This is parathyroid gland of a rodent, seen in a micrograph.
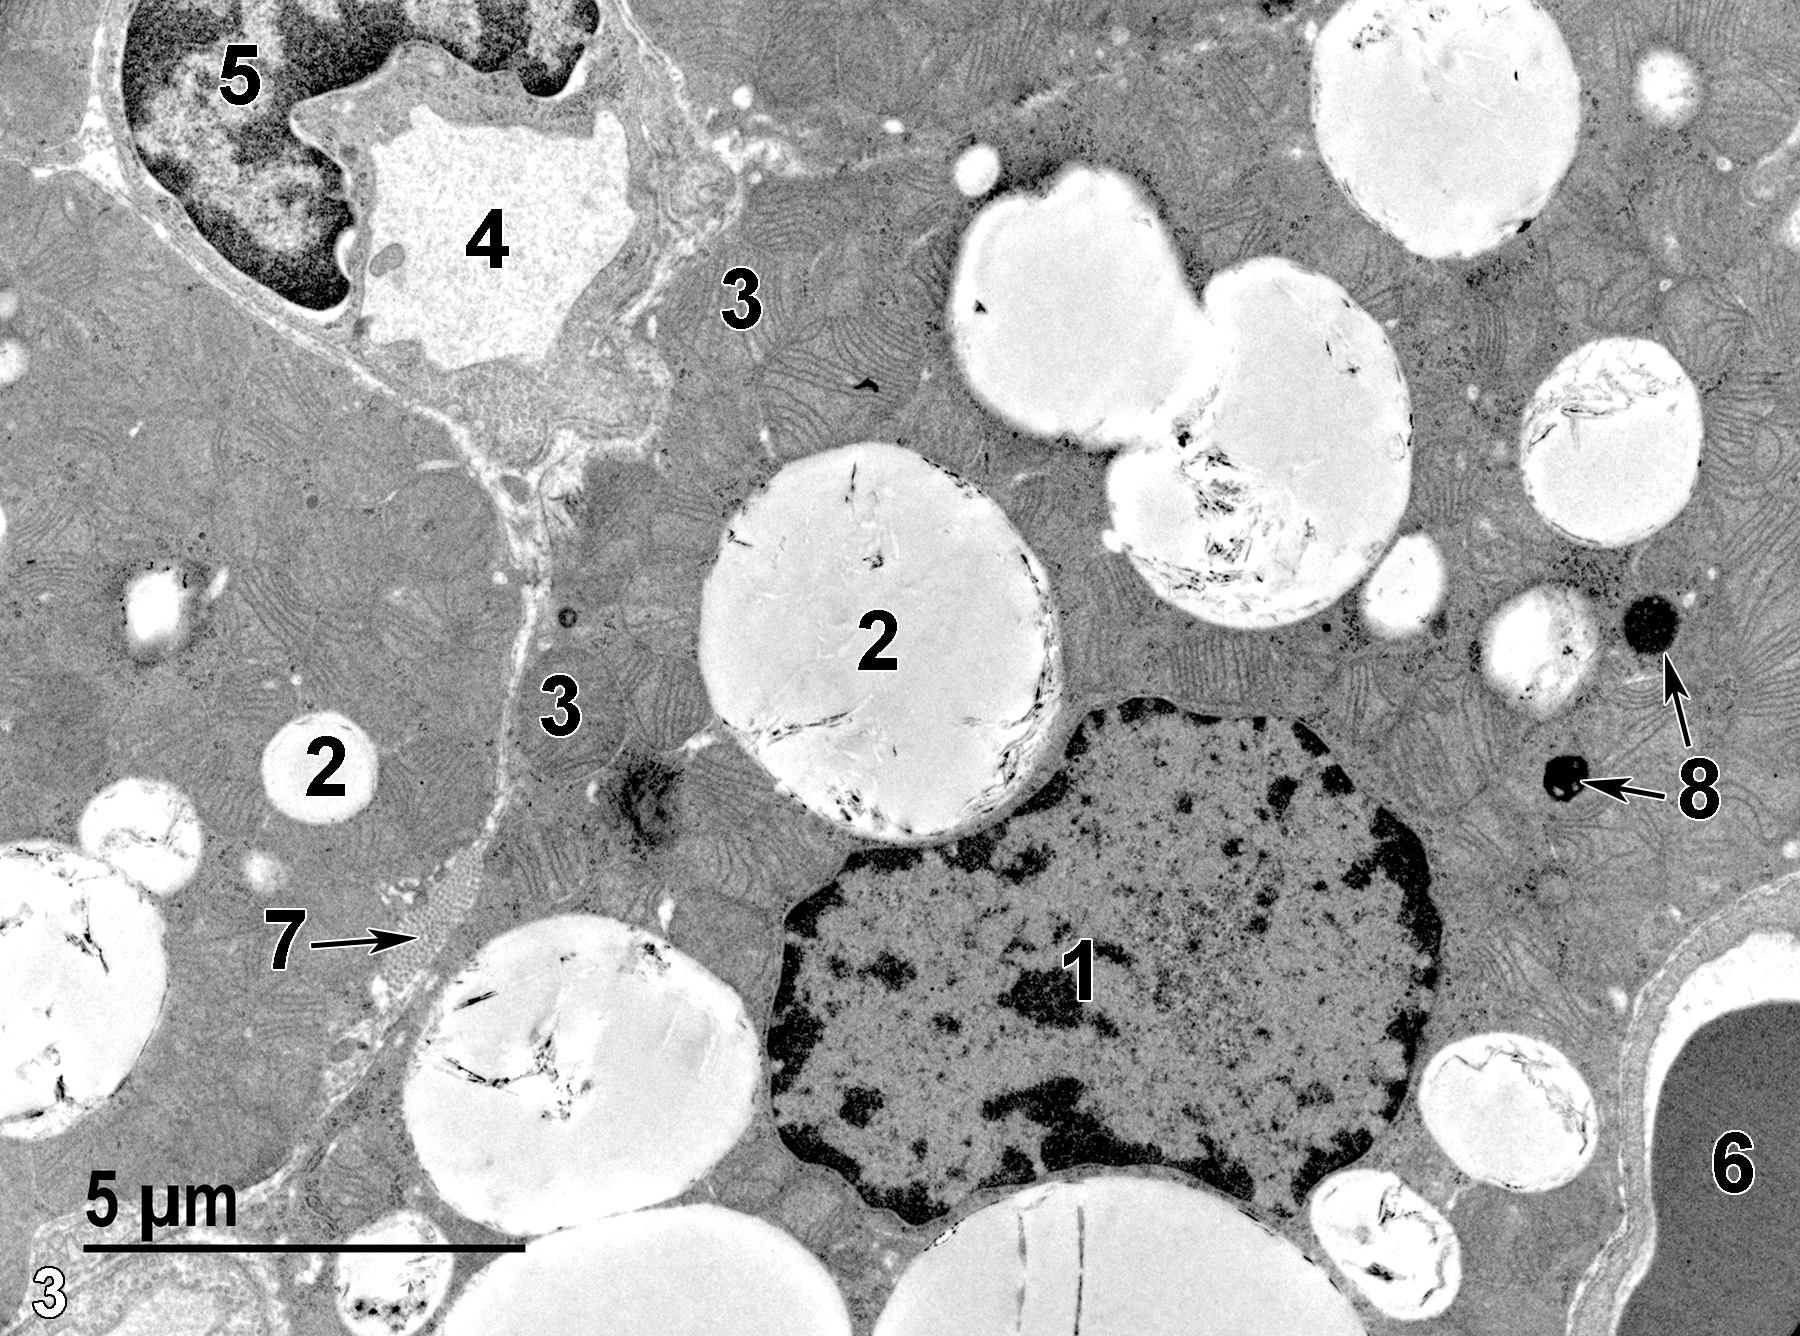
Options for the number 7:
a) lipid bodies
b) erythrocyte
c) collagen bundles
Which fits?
c) collagen bundles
